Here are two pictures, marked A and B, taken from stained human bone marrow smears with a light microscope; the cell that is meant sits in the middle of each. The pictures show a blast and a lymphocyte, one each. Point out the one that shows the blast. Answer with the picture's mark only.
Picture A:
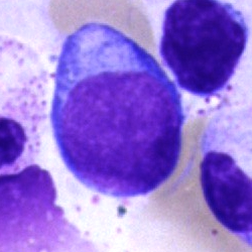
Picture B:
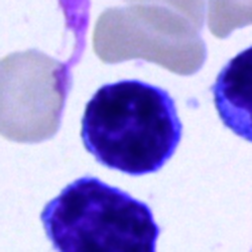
A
